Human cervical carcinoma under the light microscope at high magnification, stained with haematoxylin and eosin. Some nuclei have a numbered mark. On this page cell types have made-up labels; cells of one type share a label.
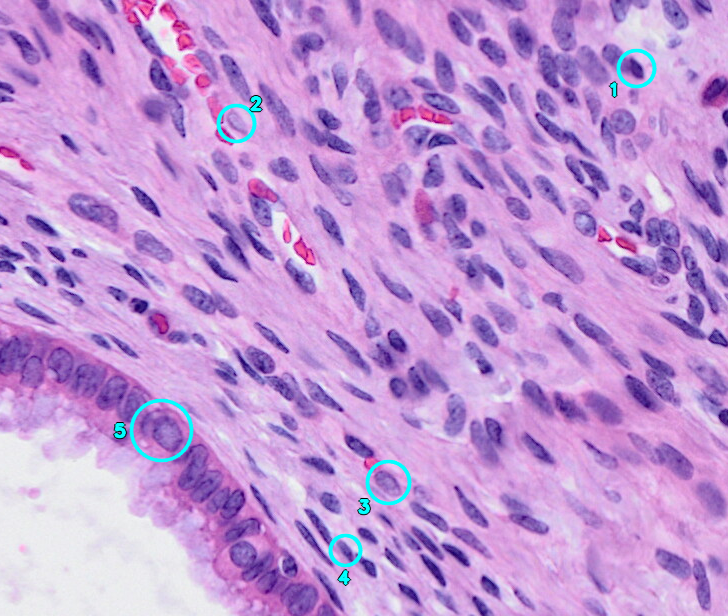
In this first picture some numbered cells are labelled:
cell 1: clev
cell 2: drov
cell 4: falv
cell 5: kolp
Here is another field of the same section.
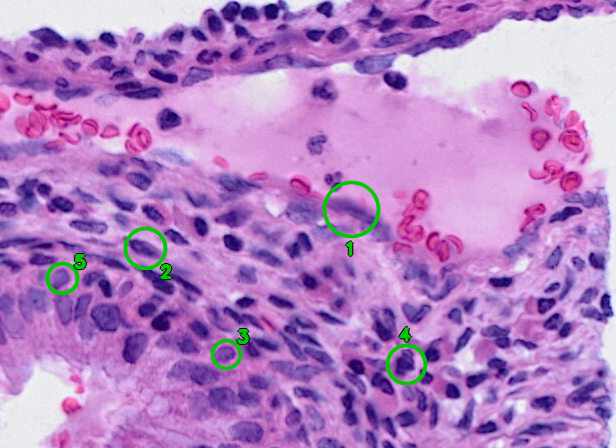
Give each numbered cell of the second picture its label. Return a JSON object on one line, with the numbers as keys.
{"1": "drov", "2": "falv", "3": "kolp", "4": "clev", "5": "kolp"}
